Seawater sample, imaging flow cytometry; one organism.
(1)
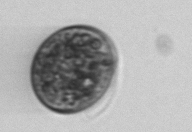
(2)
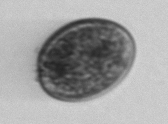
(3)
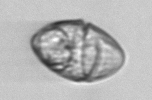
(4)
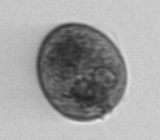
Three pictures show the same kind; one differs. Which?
Picture 3: Gyrodinium, while the others are Prorocentrum.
